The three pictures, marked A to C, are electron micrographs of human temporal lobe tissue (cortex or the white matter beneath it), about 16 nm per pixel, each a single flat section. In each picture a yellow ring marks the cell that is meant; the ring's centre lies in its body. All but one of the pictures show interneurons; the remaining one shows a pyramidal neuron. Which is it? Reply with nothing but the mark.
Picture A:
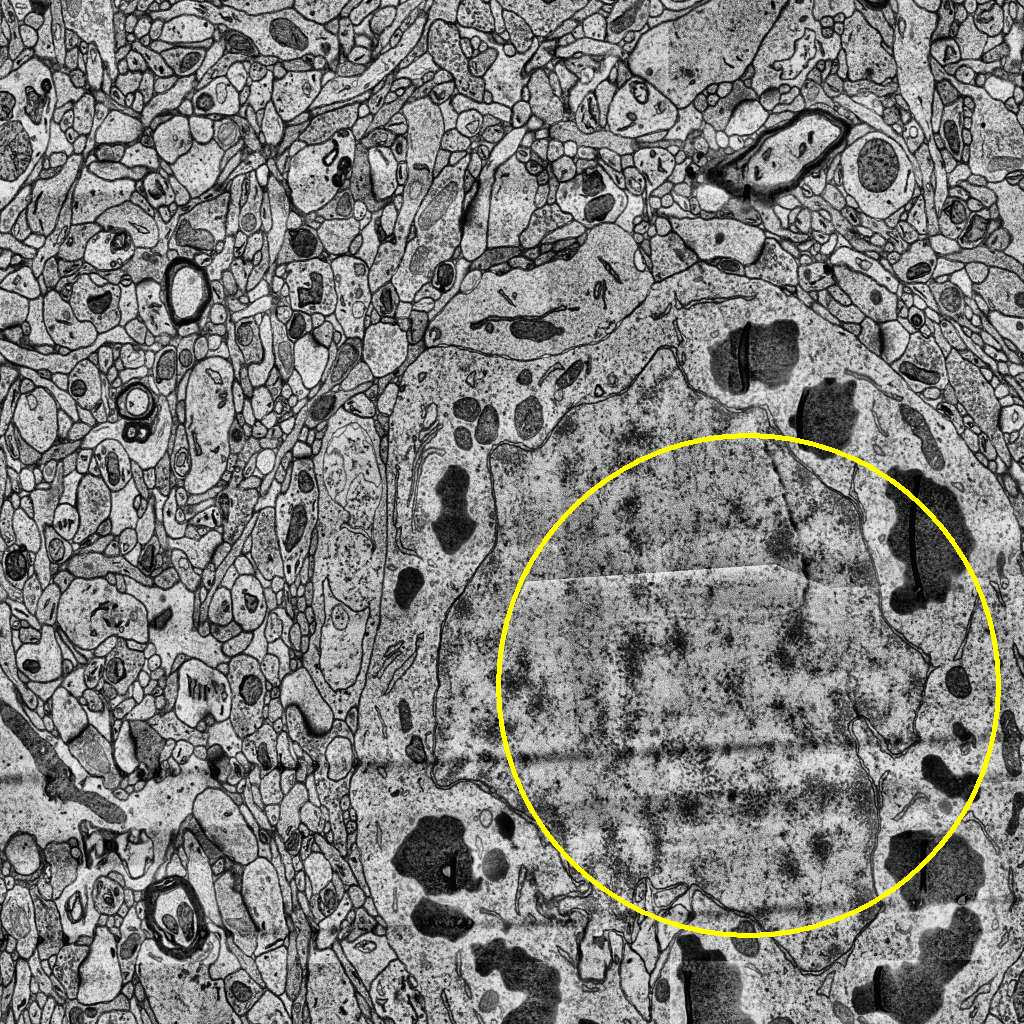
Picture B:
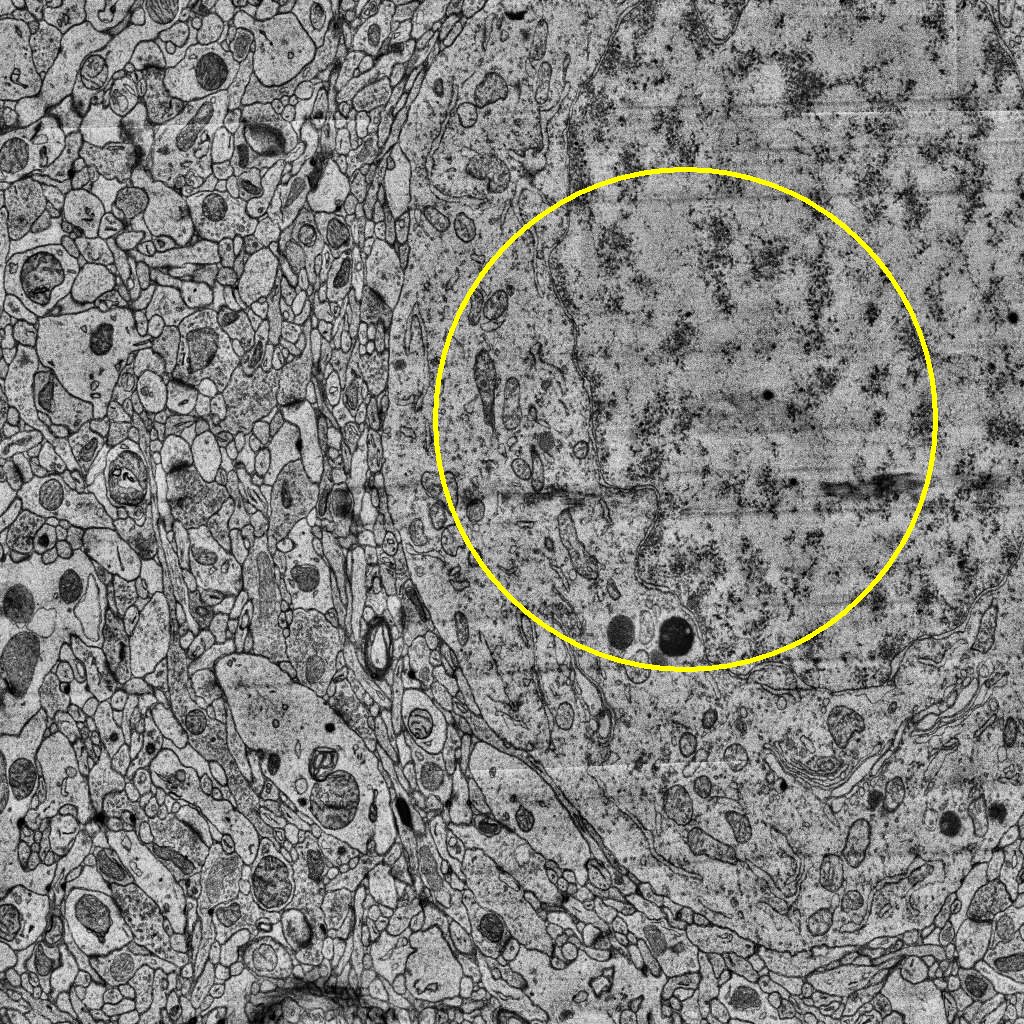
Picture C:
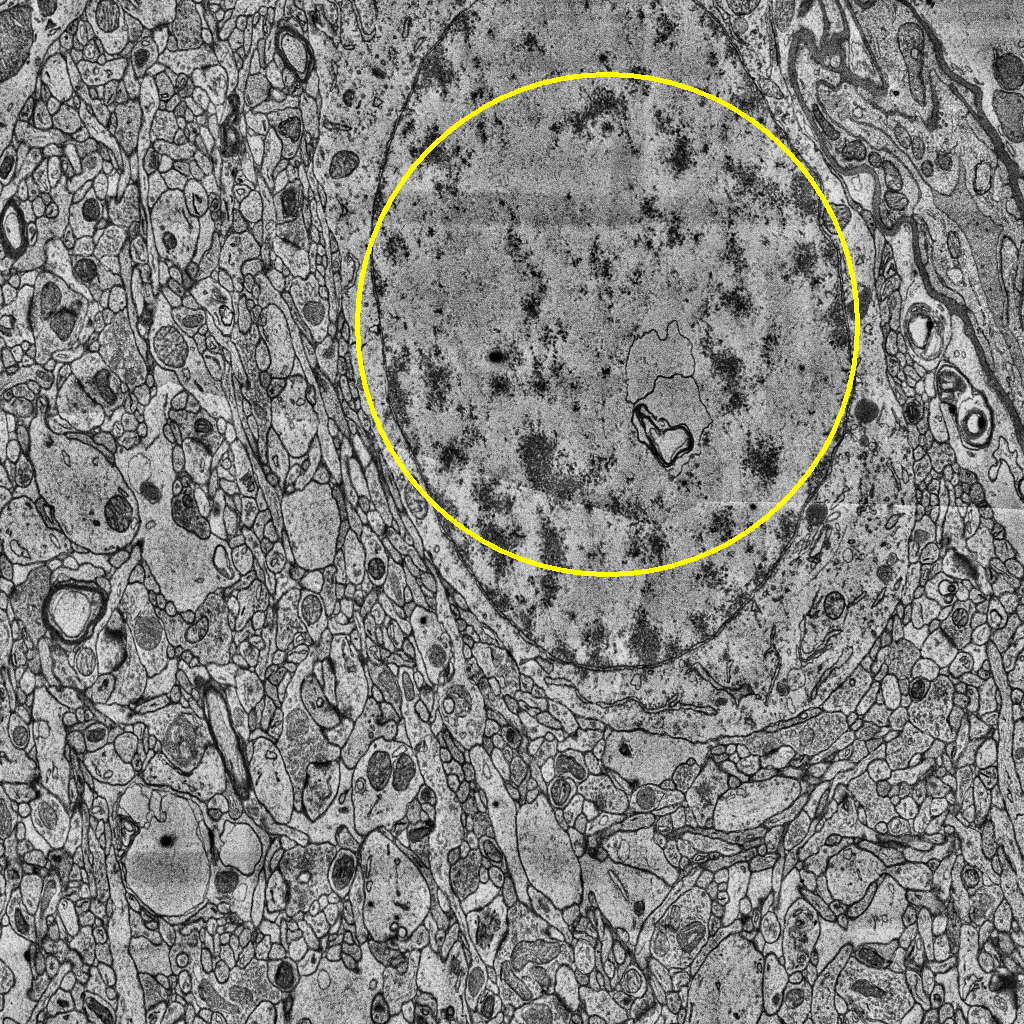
C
